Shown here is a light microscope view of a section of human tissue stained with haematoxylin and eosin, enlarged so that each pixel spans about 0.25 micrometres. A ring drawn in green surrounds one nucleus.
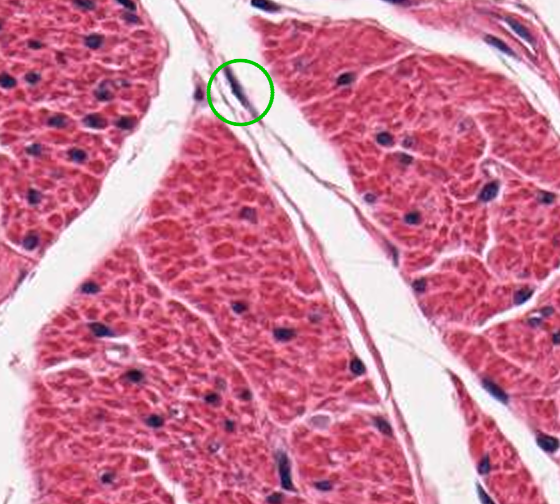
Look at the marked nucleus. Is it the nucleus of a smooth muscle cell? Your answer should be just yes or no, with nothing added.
no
